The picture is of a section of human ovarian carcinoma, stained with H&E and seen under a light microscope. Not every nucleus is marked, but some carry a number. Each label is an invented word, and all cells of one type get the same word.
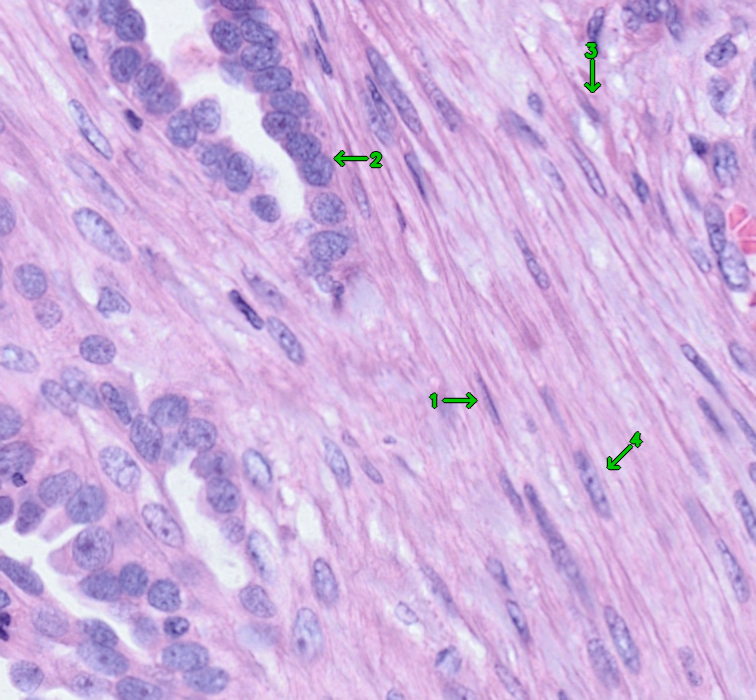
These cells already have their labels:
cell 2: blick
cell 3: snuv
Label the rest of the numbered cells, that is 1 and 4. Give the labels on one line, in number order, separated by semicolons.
snuv; snuv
